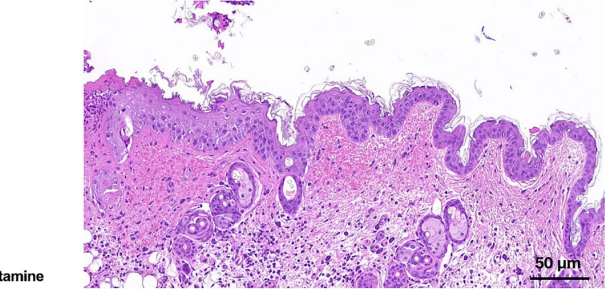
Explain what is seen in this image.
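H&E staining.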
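This is a section of skin with a markedly thickened, undulating epidermis made of many layers of purple-stained cells beneath a thin surface layer. The underlying dermis is pink and densely packed with many small dark nuclei, and hair follicles and glands cut obliquely lie in its lower part.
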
